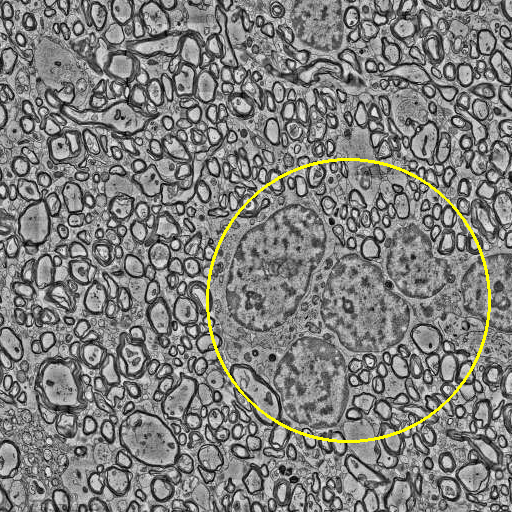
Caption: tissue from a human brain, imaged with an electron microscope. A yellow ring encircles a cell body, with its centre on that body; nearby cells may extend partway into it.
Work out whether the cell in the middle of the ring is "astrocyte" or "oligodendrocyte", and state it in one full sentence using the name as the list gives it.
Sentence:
In the picture, the cell that the yellow ring surrounds at its centre is an oligodendrocyte.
